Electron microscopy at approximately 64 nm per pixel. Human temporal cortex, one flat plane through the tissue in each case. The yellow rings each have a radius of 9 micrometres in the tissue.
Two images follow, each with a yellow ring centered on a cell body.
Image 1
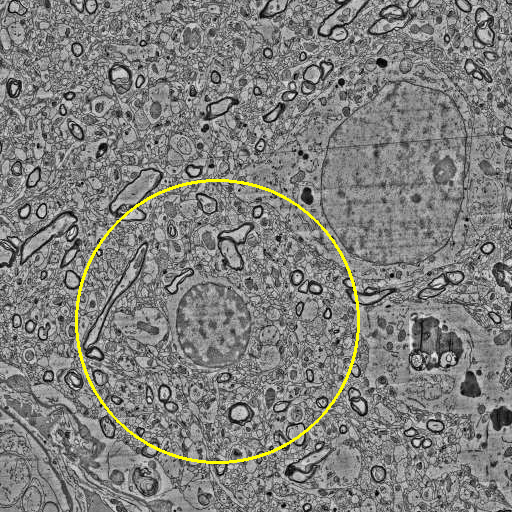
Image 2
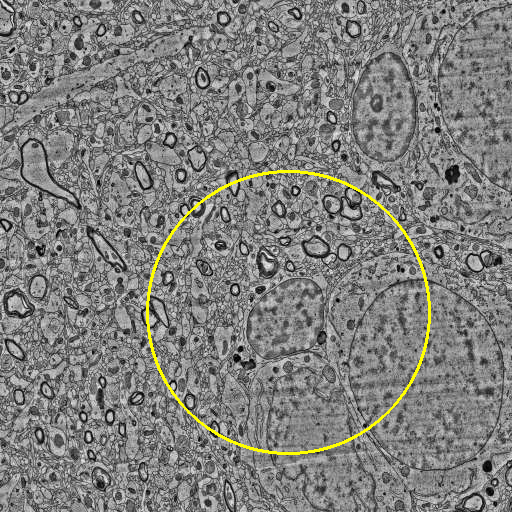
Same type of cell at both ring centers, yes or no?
no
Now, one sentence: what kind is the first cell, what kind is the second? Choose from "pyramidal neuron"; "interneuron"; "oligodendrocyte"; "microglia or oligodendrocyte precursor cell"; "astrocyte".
The first picture has an oligodendrocyte at its ring centre, and the second has a microglial cell or oligodendrocyte precursor cell.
